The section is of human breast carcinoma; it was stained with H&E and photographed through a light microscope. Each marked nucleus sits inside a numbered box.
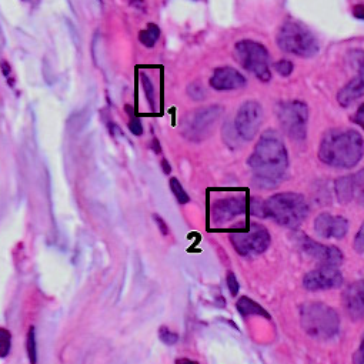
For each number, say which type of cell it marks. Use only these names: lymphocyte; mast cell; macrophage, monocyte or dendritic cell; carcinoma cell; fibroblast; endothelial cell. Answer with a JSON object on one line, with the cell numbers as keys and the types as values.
{"1": "endothelial cell", "2": "carcinoma cell"}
